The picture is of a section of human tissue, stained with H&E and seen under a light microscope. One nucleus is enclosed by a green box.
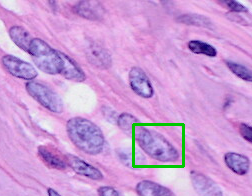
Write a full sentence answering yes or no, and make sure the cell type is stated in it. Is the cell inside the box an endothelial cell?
Yes, in short, the cell inside the box is an endothelial cell here.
